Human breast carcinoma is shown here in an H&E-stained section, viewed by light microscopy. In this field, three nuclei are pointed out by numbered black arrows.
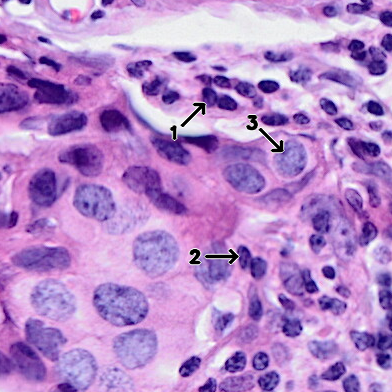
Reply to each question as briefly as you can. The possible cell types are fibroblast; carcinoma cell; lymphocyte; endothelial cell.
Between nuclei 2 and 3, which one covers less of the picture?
2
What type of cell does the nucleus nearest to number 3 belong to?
carcinoma cell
